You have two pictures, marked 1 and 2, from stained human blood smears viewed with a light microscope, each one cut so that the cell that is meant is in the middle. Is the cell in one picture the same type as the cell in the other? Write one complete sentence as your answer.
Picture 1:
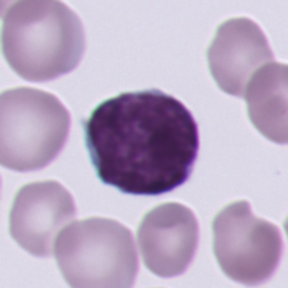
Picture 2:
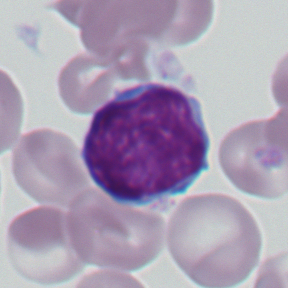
Yes, both are typical lymphocytes.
